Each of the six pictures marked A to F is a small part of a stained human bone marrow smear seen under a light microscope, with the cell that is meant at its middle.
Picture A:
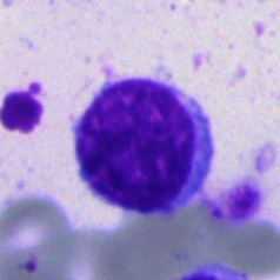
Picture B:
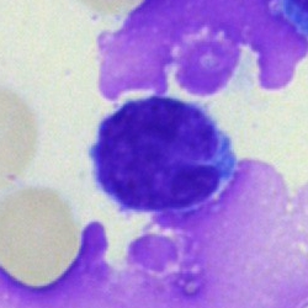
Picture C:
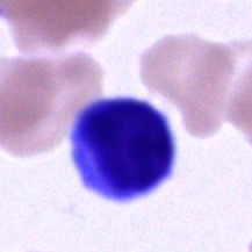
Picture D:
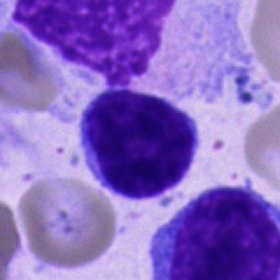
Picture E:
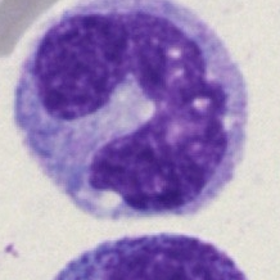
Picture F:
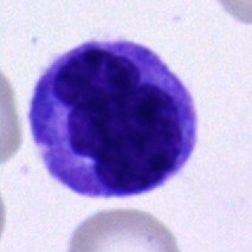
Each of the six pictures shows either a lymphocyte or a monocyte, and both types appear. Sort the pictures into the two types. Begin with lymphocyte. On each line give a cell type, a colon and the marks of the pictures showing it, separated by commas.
lymphocyte: A, B, C, D
monocyte: E, F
